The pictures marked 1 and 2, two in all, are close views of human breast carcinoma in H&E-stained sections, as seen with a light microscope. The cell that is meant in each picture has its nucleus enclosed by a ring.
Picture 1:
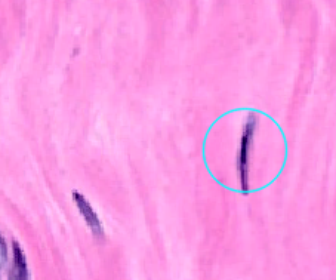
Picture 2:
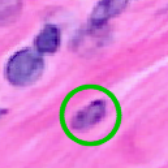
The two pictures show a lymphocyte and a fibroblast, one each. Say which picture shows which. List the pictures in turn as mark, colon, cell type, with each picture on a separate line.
1: fibroblast
2: lymphocyte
